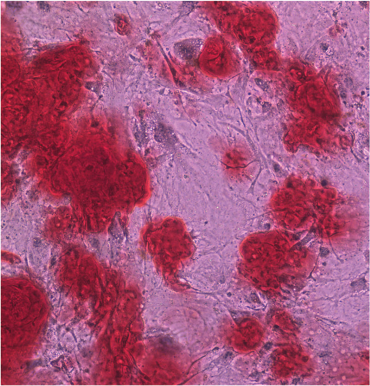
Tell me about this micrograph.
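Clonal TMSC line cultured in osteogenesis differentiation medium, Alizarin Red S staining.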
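The deposits form rounded, dense nodules of varying size scattered over the dish. Between the nodules lies a paler pink layer of flattened cells with faint outlines.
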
